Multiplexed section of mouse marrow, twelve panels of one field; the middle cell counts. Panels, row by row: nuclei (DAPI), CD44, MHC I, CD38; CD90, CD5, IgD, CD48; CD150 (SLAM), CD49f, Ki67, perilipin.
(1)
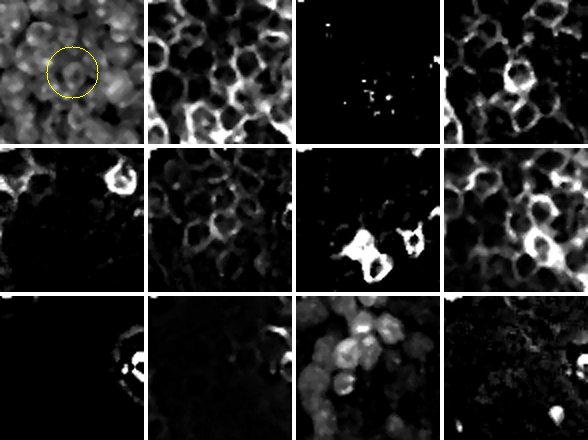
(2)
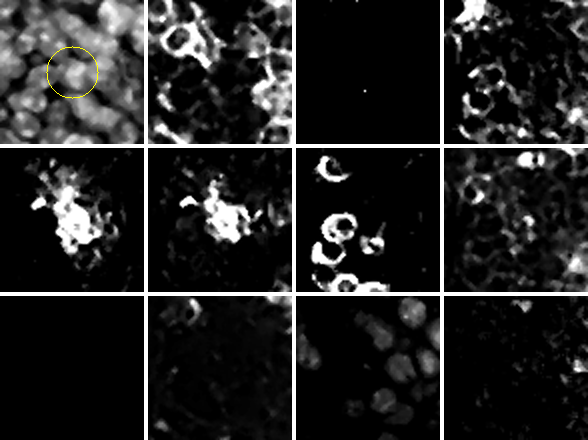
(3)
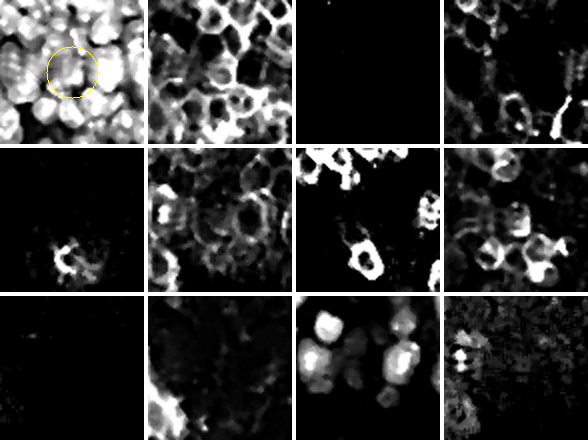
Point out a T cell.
That is picture 2.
